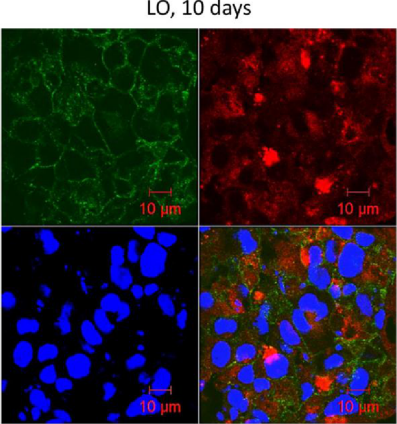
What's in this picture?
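The green outlines are thin and partly dotted or broken rather than continuous. Red fills the cytoplasm unevenly, faint in some cells and forming bright clumps in a few. Blue nuclei are crowded and vary considerably in size and shape.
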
